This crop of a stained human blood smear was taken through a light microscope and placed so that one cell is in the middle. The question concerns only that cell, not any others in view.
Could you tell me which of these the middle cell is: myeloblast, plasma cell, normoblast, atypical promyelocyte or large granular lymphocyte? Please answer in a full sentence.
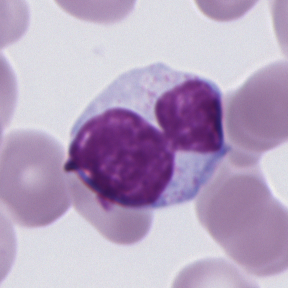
The central cell in this smear crop is a large granular lymphocyte.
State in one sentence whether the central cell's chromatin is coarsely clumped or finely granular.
The nucleus shows chromatin that is coarsely clumped.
